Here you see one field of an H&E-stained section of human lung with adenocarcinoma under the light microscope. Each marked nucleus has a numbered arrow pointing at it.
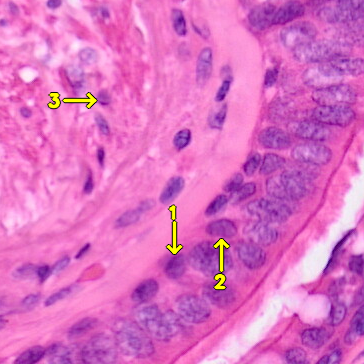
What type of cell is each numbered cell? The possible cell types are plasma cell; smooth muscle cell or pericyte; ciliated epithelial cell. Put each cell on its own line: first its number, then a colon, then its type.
1: ciliated epithelial cell
2: ciliated epithelial cell
3: smooth muscle cell or pericyte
